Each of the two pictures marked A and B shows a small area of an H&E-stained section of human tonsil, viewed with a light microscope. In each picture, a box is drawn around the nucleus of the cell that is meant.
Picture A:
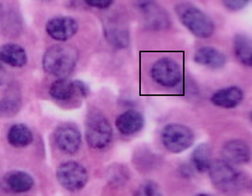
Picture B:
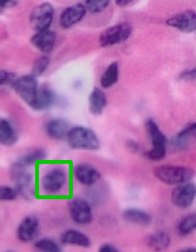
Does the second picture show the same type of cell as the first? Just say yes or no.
yes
